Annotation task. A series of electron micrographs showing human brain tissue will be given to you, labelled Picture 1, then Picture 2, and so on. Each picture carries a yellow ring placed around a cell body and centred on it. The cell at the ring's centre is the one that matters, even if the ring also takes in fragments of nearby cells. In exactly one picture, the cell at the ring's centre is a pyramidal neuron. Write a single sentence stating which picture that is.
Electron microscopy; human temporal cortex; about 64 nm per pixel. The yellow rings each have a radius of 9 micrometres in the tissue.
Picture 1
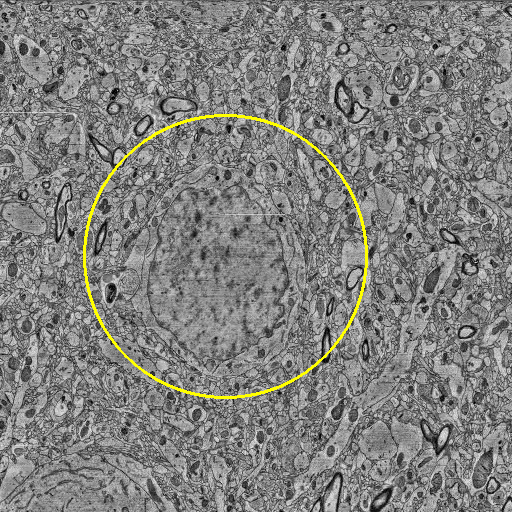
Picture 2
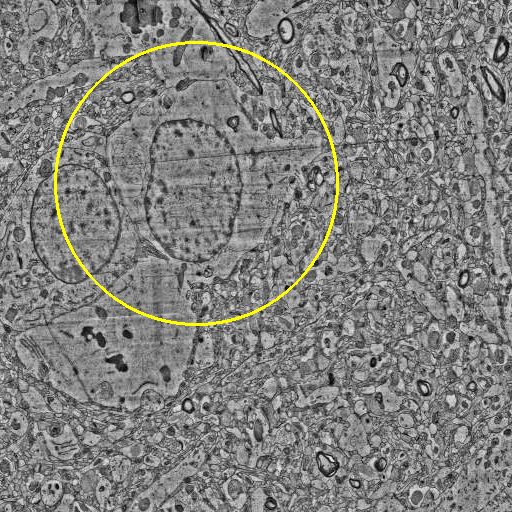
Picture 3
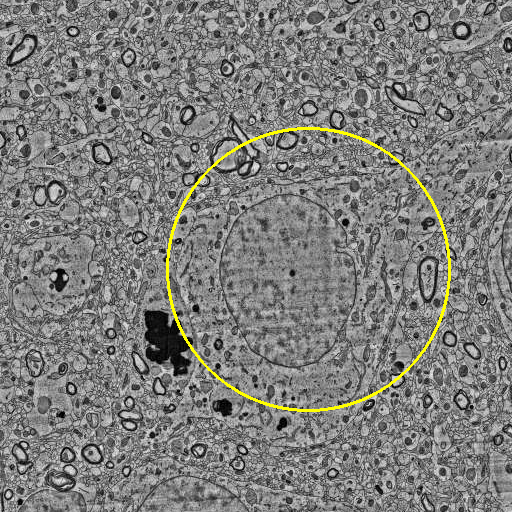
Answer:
Picture 3 holds the requested cell at the very centre of its ring.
